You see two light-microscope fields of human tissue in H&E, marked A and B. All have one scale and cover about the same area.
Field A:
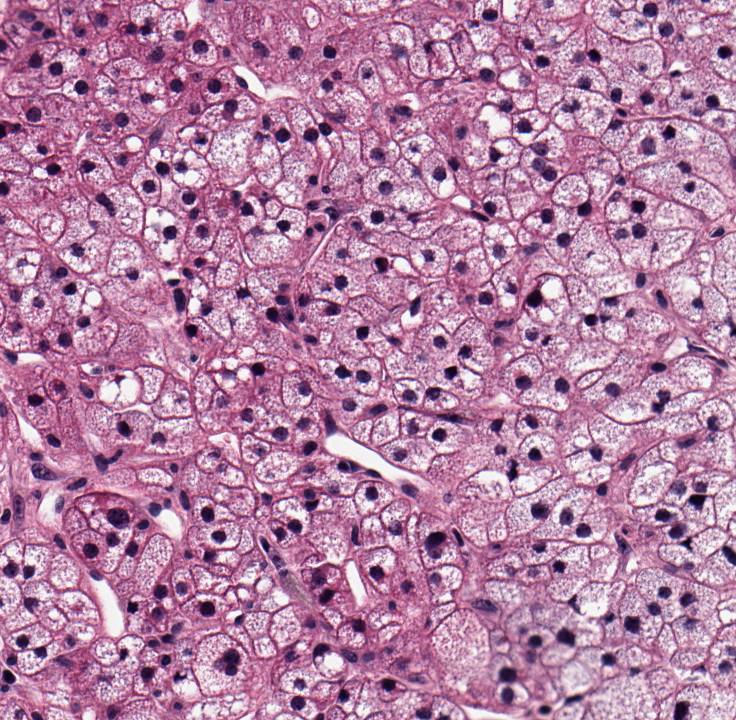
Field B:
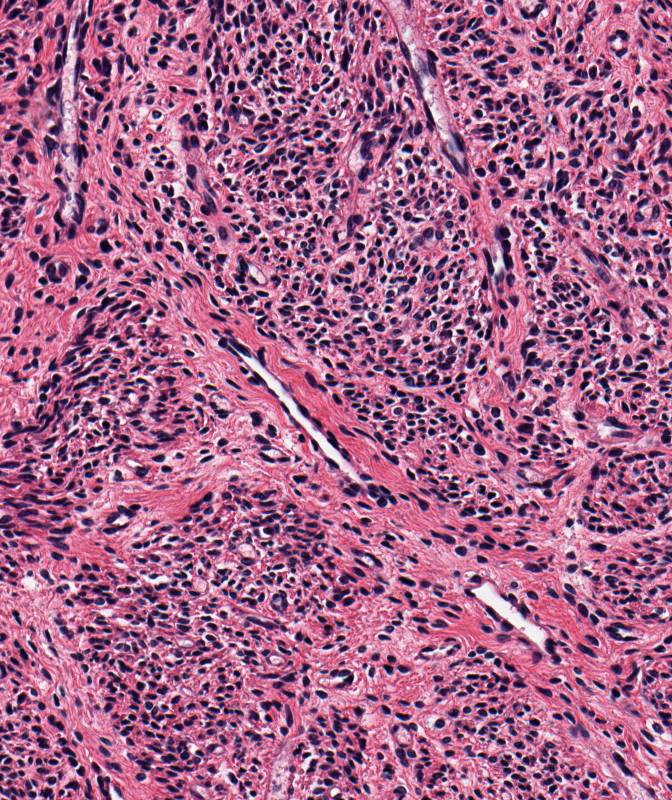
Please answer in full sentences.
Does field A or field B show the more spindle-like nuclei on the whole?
Longer, more slender nuclei lie in field B.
